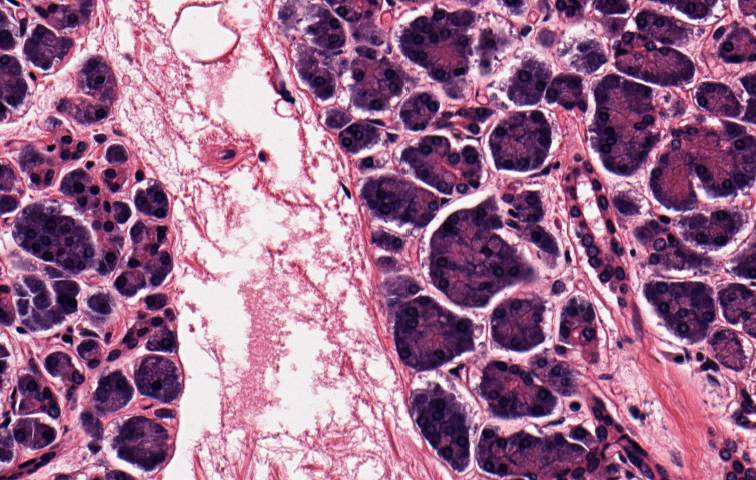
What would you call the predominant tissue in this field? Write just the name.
exocrine pancreas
